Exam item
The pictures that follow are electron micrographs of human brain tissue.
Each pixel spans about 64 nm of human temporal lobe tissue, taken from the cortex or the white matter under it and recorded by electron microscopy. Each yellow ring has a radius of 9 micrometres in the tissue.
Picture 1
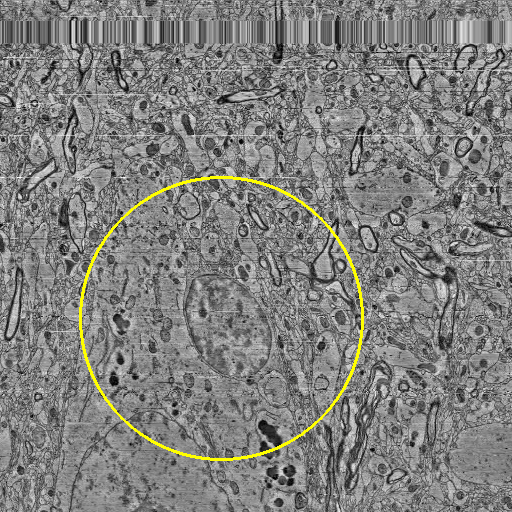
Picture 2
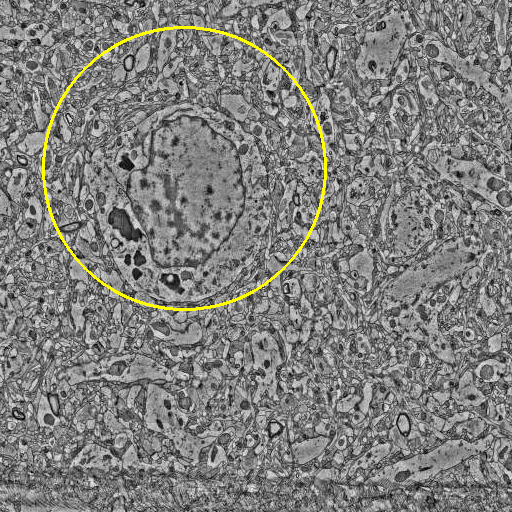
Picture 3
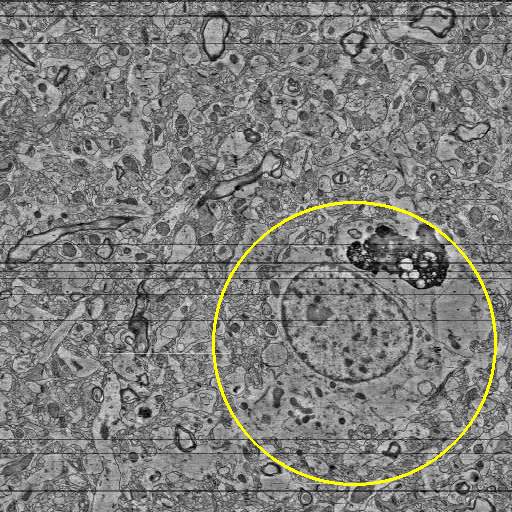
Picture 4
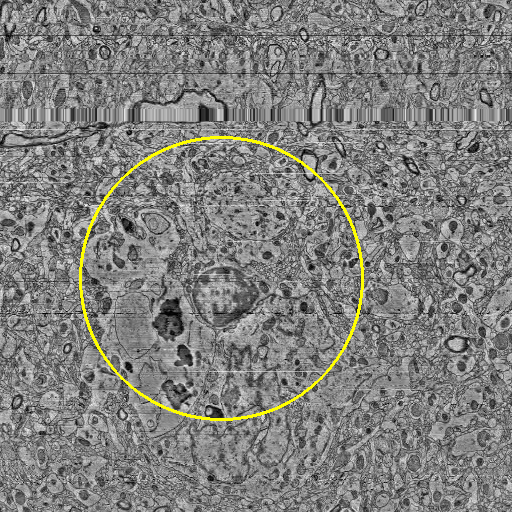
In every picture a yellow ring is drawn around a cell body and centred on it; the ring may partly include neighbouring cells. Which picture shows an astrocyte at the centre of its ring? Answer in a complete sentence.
The cell at the centre of the ring in Picture 3 is the one asked for.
